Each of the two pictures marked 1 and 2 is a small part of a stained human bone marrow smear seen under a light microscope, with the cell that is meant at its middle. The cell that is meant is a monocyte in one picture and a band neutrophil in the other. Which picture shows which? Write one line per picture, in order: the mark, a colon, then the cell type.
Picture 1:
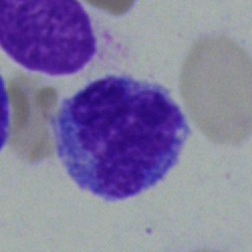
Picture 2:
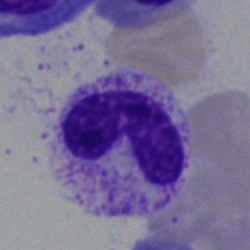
1: monocyte
2: band neutrophil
